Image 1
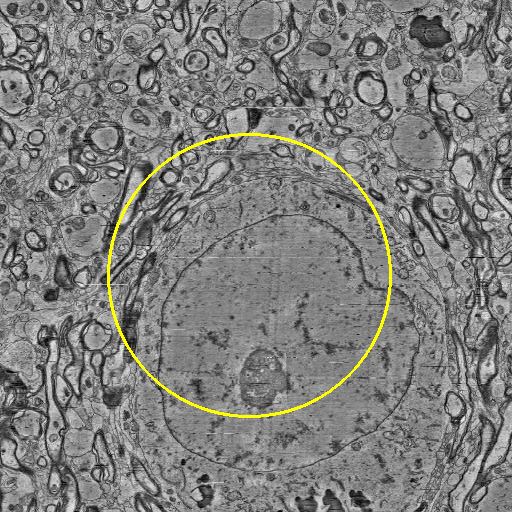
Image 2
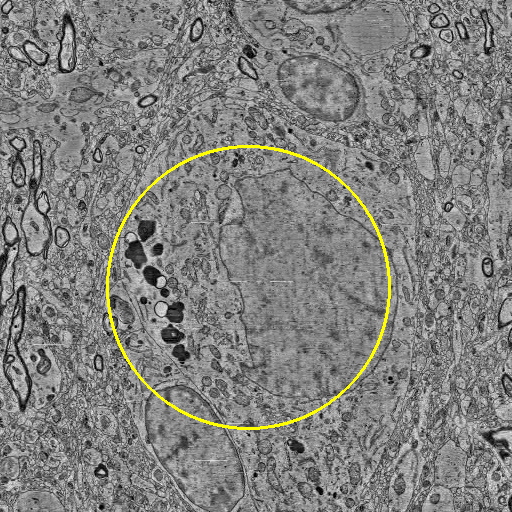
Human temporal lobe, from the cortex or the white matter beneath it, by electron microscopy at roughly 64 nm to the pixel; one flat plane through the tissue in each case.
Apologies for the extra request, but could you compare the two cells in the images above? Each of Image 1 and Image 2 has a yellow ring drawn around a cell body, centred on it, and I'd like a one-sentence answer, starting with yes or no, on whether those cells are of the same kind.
Yes, both cells are of the same kind.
